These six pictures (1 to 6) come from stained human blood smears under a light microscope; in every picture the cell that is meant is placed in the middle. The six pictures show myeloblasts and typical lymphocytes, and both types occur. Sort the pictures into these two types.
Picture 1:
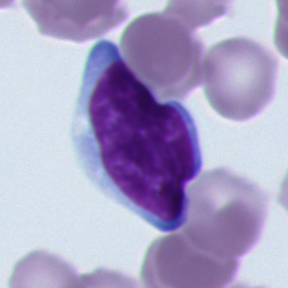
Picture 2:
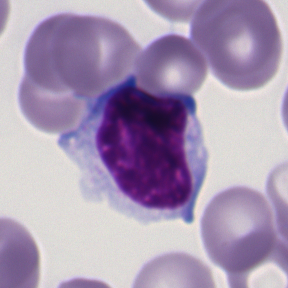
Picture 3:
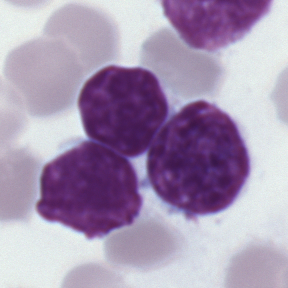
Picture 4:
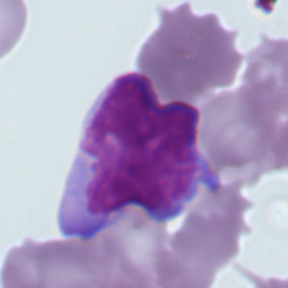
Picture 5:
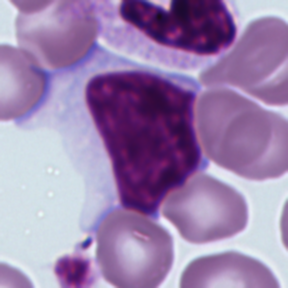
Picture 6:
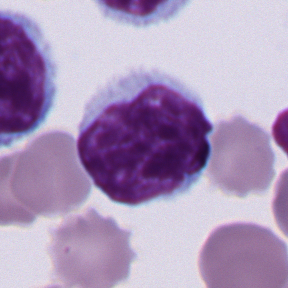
1: typical lymphocyte
2: typical lymphocyte
3: myeloblast
4: myeloblast
5: typical lymphocyte
6: typical lymphocyte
